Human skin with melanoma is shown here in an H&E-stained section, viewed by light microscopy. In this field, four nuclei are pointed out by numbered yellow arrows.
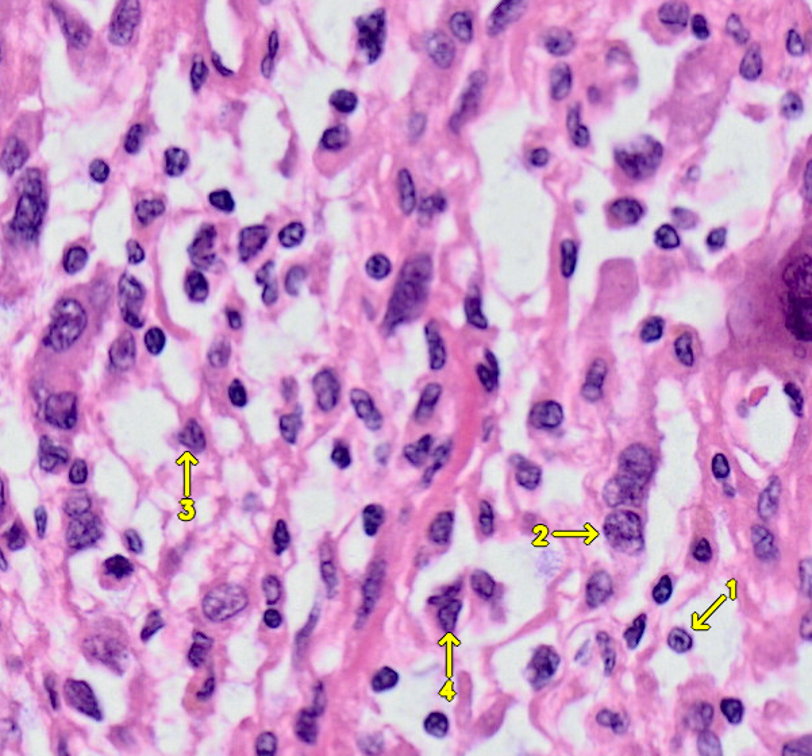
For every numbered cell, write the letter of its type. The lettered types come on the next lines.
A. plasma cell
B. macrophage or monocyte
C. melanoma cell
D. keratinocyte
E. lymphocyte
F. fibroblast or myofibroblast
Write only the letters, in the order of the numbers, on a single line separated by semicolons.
E; C; B; C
